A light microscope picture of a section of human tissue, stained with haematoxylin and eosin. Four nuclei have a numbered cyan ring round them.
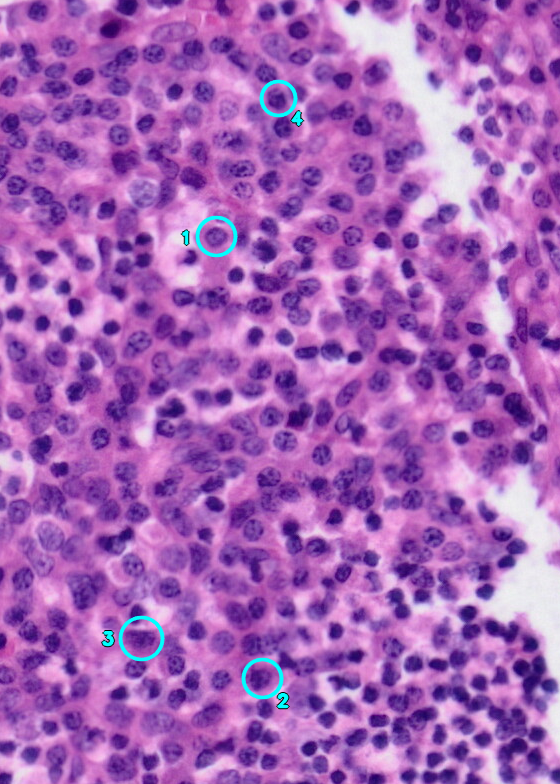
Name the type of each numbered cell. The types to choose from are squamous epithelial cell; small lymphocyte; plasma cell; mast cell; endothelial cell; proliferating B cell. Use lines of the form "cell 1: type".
cell 1: plasma cell
cell 2: plasma cell
cell 3: squamous epithelial cell
cell 4: plasma cell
